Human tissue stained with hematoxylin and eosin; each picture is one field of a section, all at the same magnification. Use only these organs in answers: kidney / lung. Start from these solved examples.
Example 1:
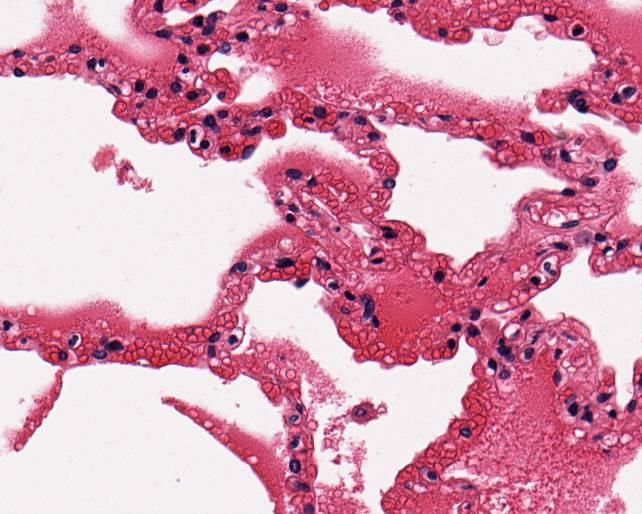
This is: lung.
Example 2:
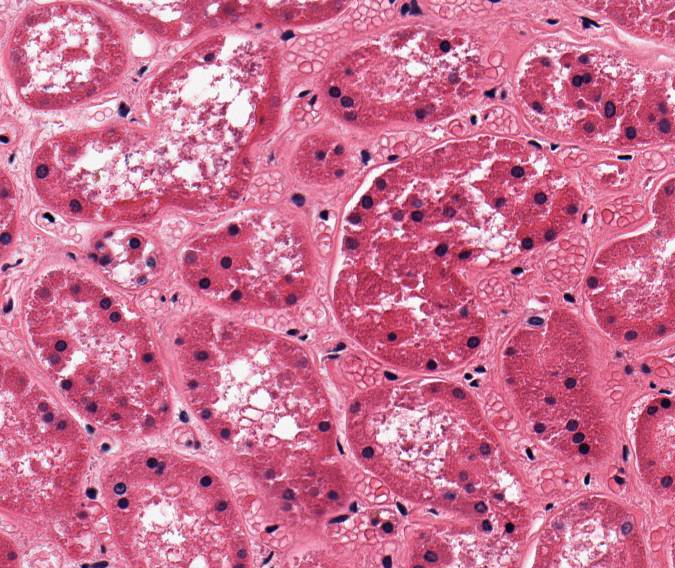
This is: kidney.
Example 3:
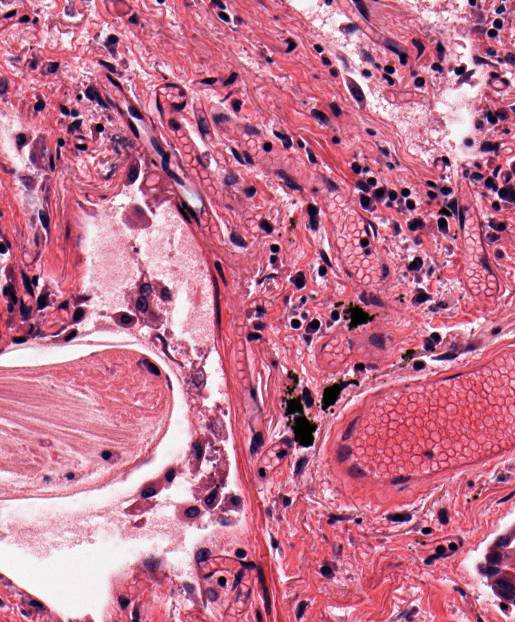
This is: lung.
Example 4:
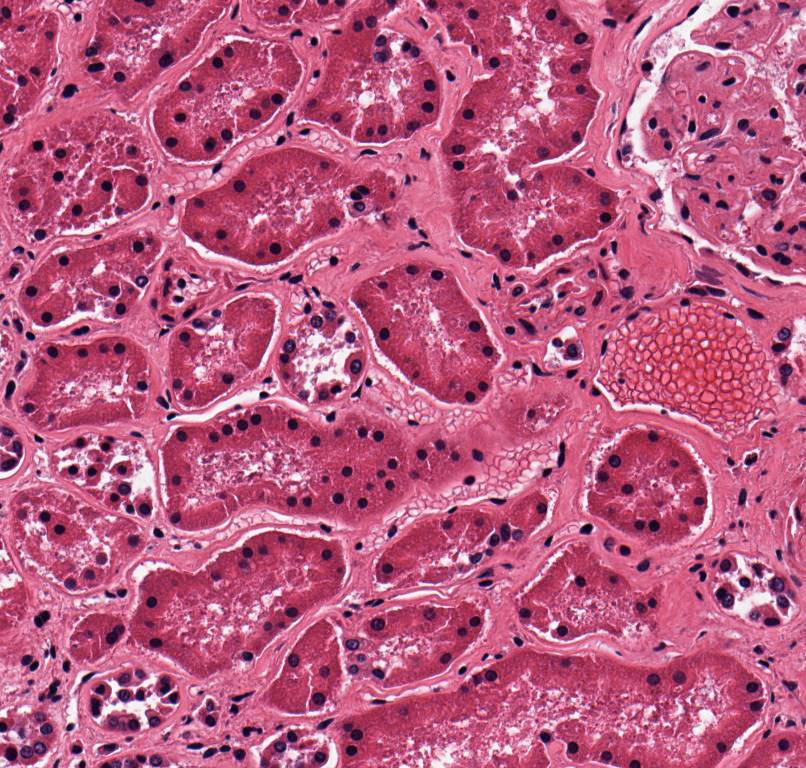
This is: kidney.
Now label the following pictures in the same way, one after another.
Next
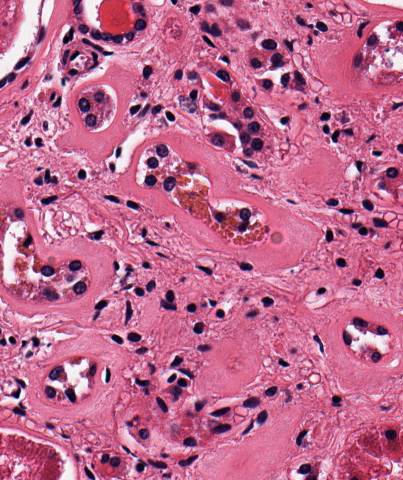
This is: kidney.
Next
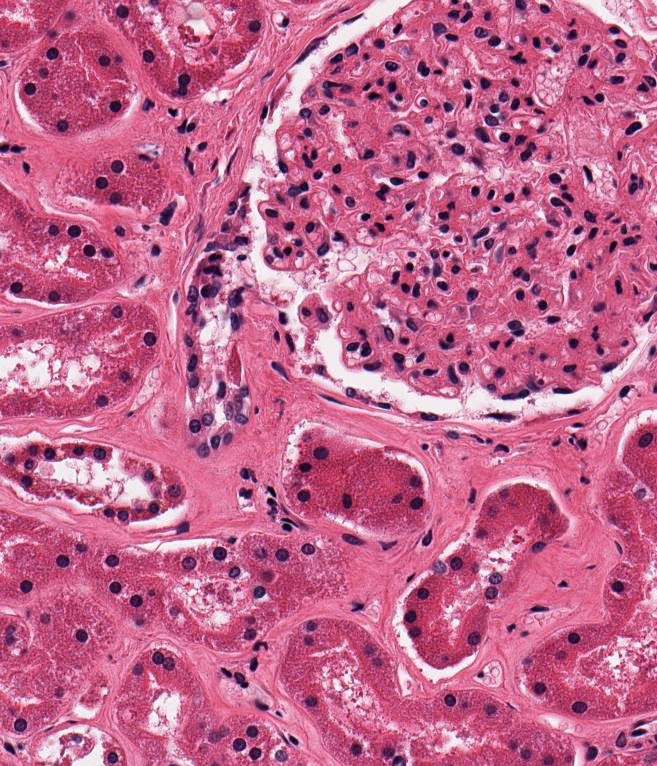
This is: kidney.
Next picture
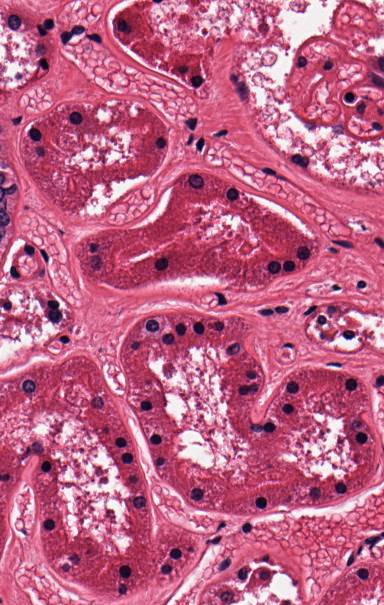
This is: kidney.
